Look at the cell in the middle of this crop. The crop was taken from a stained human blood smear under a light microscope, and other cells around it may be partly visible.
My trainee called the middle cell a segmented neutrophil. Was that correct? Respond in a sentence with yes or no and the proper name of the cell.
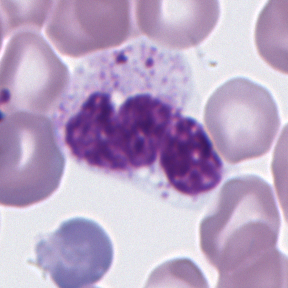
Yes, that middle cell in the crop is a segmented neutrophil.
